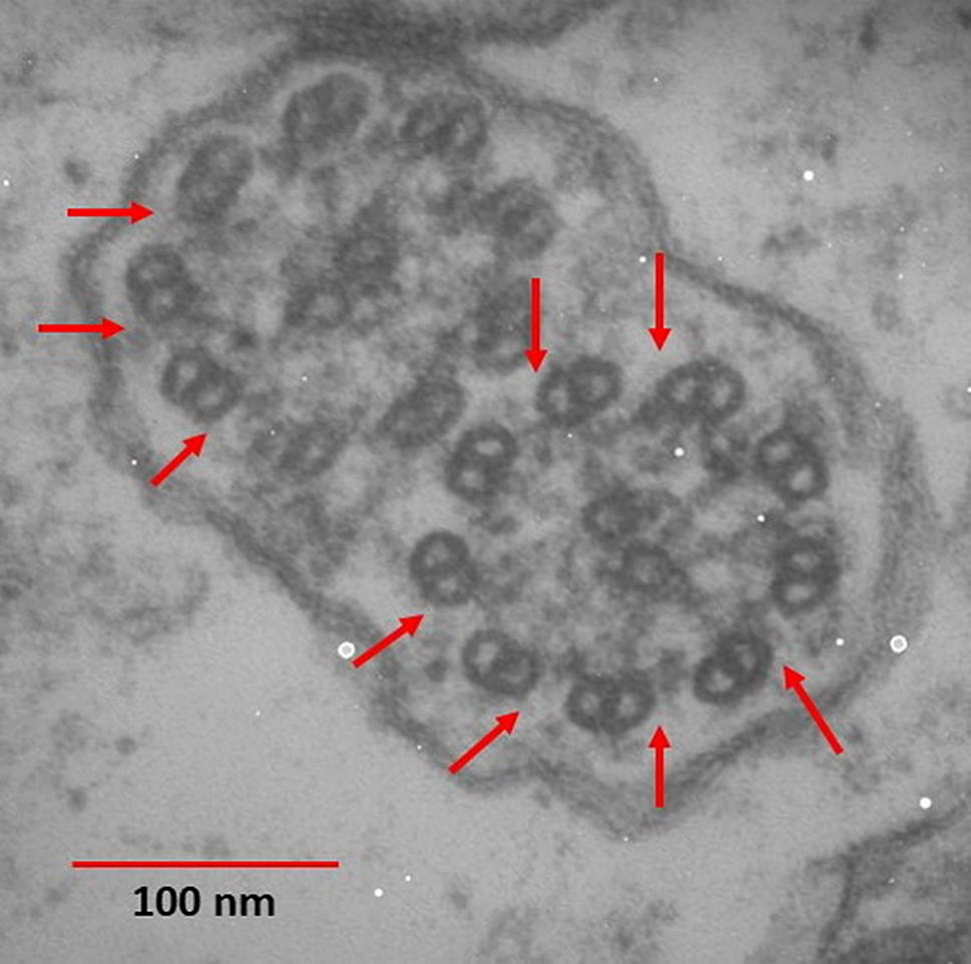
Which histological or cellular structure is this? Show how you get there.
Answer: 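A single membrane-bounded profile encloses many microtubule doublets.
Conclusion: Compound cilia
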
